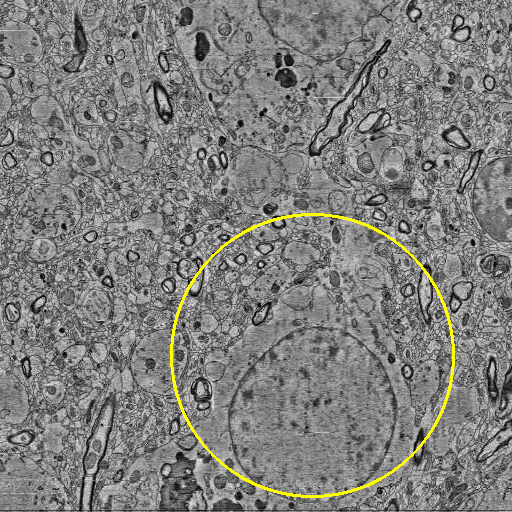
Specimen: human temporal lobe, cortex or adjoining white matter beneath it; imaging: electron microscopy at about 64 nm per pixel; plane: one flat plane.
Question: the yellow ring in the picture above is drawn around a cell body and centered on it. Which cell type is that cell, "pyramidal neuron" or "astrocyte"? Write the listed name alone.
astrocyte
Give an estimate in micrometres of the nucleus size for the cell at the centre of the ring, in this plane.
The nucleus measures about 11 micrometers across in this plane.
